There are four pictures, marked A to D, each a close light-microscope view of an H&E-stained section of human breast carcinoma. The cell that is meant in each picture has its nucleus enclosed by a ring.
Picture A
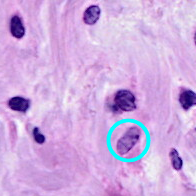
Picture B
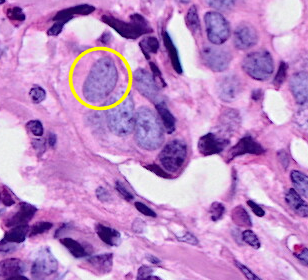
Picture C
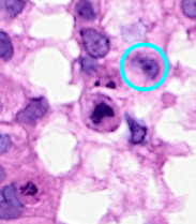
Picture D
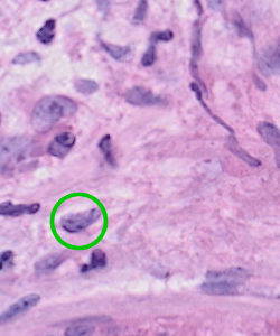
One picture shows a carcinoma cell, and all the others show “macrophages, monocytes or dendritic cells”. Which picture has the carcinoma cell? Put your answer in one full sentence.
Picture B is the one that shows the carcinoma cell.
